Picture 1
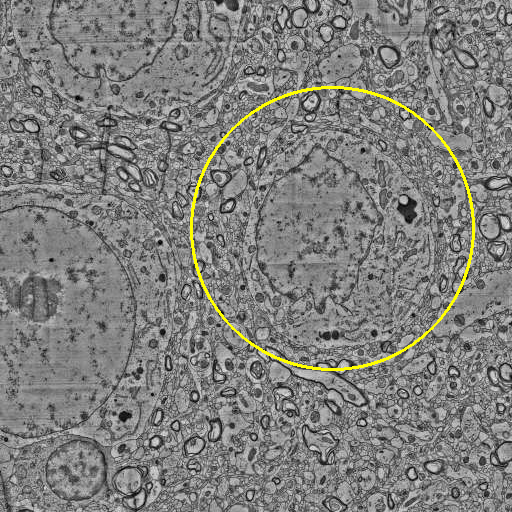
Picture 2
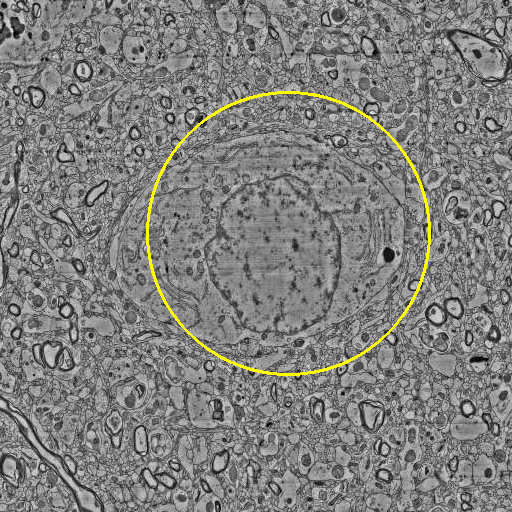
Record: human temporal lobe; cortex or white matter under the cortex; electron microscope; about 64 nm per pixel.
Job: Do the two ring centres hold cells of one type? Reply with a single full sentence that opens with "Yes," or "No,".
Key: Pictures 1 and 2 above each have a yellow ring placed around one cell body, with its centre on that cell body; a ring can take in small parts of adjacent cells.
Yes, the cells at the two ring centres are of one single type.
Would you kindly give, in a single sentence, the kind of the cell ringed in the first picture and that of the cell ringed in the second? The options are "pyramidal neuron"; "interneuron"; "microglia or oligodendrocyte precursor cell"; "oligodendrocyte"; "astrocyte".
In each of the two pictures, the ringed cell is an interneuron.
